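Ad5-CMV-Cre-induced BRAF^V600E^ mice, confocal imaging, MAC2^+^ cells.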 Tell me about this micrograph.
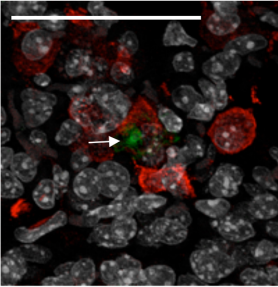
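Lung tumour tissue with closely packed grey tumour cell nuclei and several macrophages with red cytoplasm. One red cell in the centre contains a green, speckled nuclear signal, which an arrow marks. Between the tumour cell nuclei there are narrow dark gaps.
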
